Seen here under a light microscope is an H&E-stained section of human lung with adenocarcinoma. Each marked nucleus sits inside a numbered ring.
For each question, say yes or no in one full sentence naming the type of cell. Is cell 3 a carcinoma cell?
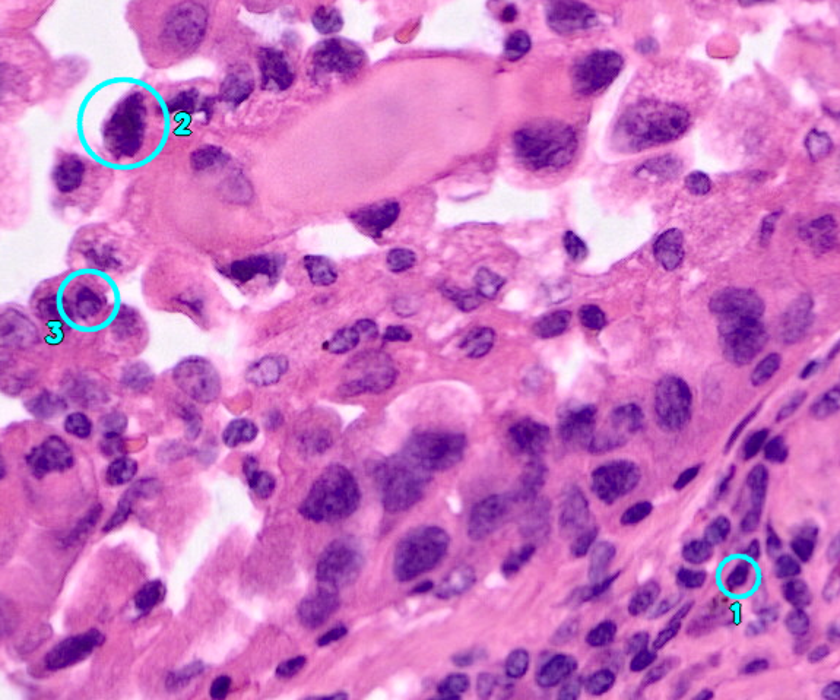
Yes, of the numbered cells, number 3 is a carcinoma cell.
